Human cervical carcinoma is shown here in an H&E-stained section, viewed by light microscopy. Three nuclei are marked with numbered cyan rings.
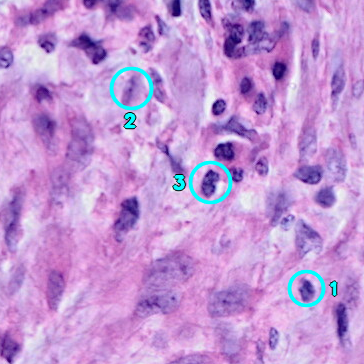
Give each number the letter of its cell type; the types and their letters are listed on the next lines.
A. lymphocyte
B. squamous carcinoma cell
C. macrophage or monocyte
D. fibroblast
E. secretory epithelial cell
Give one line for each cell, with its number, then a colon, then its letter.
1: A
2: D
3: A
